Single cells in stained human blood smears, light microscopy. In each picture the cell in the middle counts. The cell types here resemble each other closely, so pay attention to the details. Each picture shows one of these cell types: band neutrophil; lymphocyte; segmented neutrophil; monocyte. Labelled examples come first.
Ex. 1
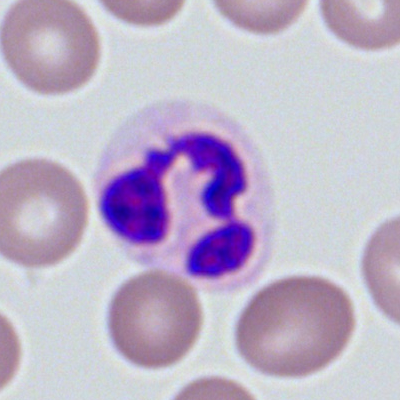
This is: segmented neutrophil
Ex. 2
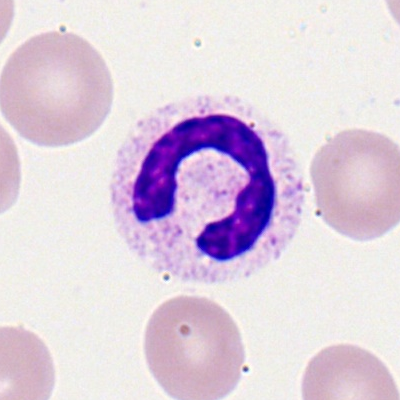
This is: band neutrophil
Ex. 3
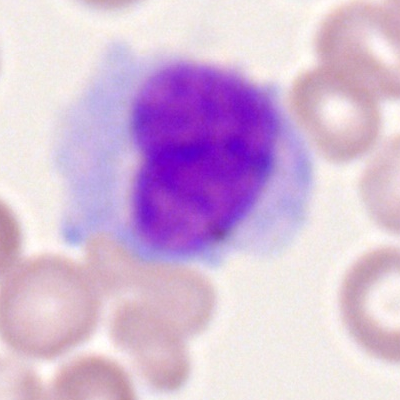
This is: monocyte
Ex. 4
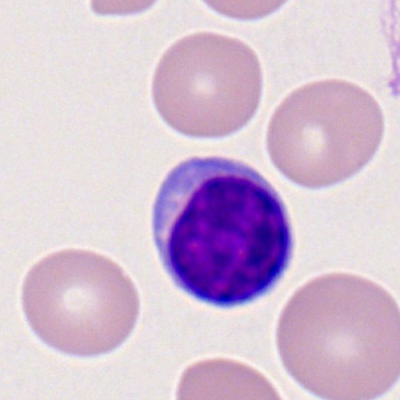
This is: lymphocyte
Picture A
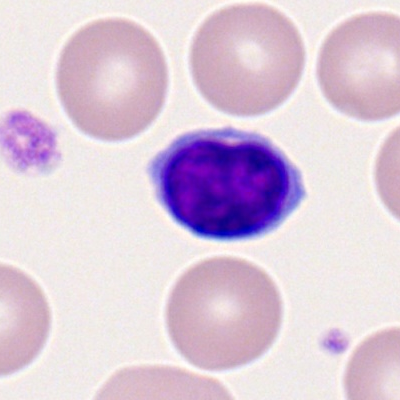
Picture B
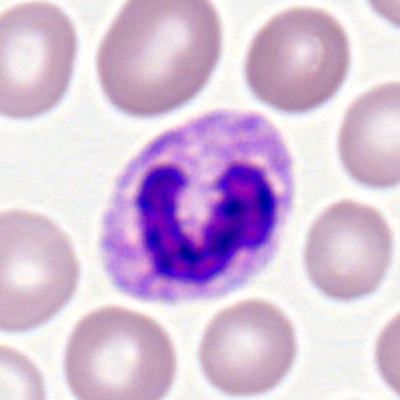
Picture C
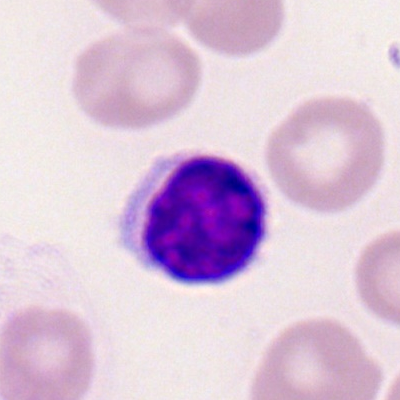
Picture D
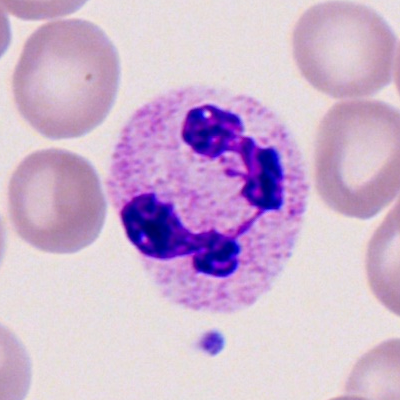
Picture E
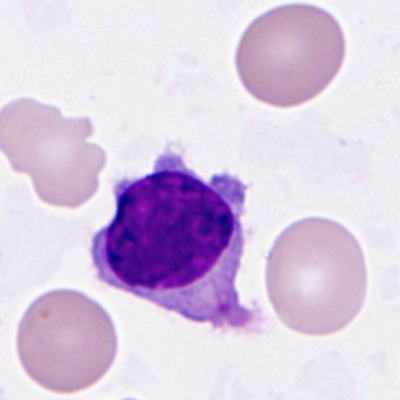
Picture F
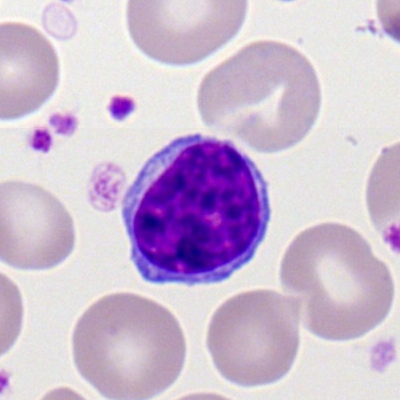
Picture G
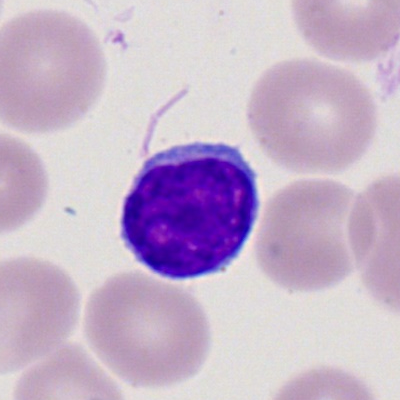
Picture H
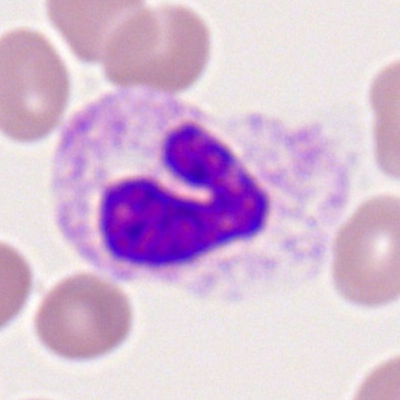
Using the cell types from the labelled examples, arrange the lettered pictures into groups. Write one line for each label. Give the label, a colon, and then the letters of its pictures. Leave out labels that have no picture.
band neutrophil: B, H
lymphocyte: A, C, E, F, G
segmented neutrophil: D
